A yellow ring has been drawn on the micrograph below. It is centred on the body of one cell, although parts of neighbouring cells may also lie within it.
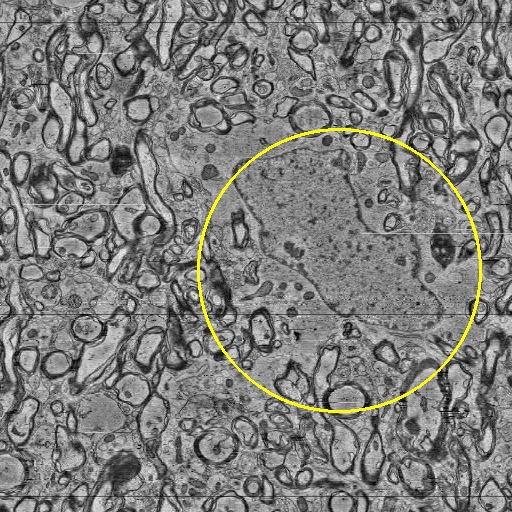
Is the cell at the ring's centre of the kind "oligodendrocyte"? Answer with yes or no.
no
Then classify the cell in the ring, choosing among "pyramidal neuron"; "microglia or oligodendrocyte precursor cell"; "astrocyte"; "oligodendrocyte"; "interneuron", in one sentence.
The correct answer is that the cell is an astrocyte.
